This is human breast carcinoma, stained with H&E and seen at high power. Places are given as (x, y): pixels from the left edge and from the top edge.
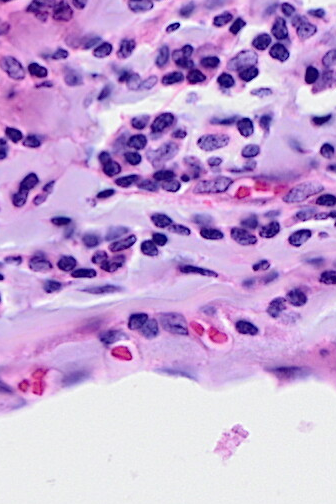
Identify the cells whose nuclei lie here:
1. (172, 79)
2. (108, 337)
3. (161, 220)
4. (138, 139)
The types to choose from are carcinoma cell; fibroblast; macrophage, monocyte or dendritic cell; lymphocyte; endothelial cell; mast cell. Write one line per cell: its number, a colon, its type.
1: lymphocyte
2: endothelial cell
3: lymphocyte
4: lymphocyte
